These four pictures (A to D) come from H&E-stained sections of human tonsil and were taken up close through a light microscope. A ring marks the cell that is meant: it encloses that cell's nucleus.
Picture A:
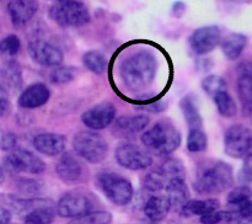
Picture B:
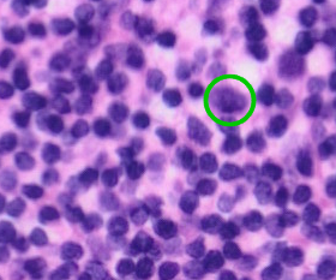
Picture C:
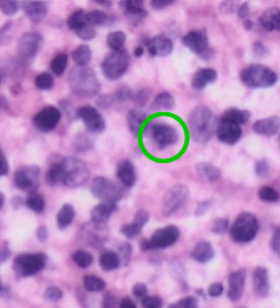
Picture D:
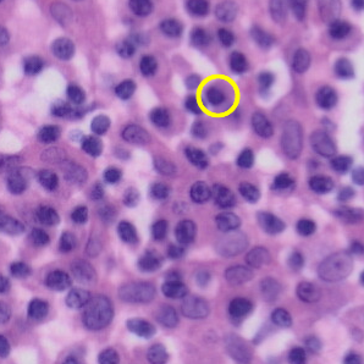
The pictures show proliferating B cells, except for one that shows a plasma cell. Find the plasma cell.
D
